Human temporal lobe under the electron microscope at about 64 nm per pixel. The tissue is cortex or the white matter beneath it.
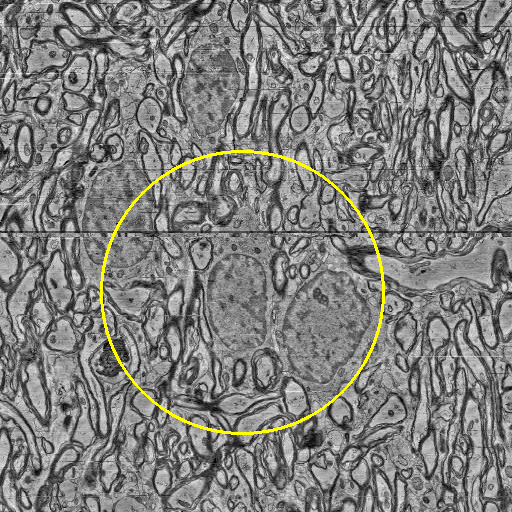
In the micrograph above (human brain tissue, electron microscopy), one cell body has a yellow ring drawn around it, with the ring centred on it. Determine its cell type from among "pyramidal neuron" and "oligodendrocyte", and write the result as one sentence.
The cell whose body is ringed is an oligodendrocyte.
